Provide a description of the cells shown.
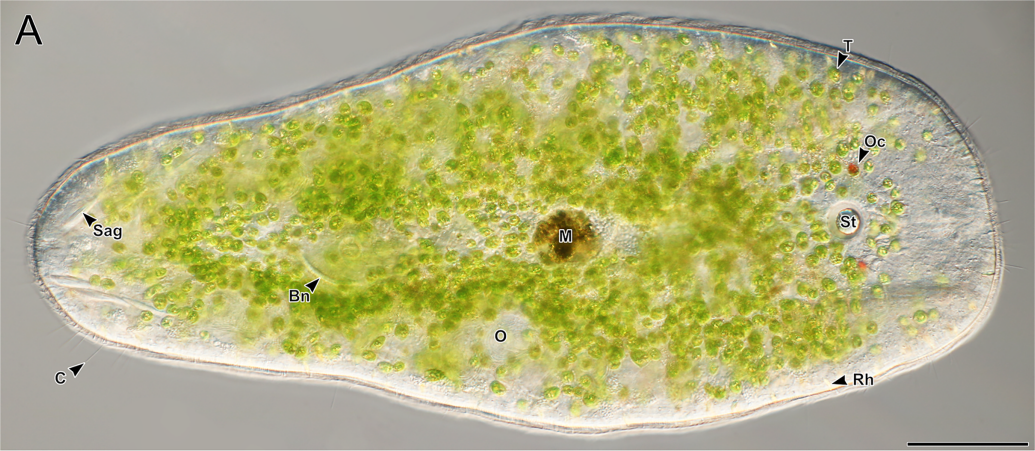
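A dark brown pigmented area lies in the middle of the body near the mouth, and a clear round statocyst lies toward the rounded anterior end on the right, with a small red ocellus near it. Translucent gland cells lie along the body edge, and fine cilia project from the surface.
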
